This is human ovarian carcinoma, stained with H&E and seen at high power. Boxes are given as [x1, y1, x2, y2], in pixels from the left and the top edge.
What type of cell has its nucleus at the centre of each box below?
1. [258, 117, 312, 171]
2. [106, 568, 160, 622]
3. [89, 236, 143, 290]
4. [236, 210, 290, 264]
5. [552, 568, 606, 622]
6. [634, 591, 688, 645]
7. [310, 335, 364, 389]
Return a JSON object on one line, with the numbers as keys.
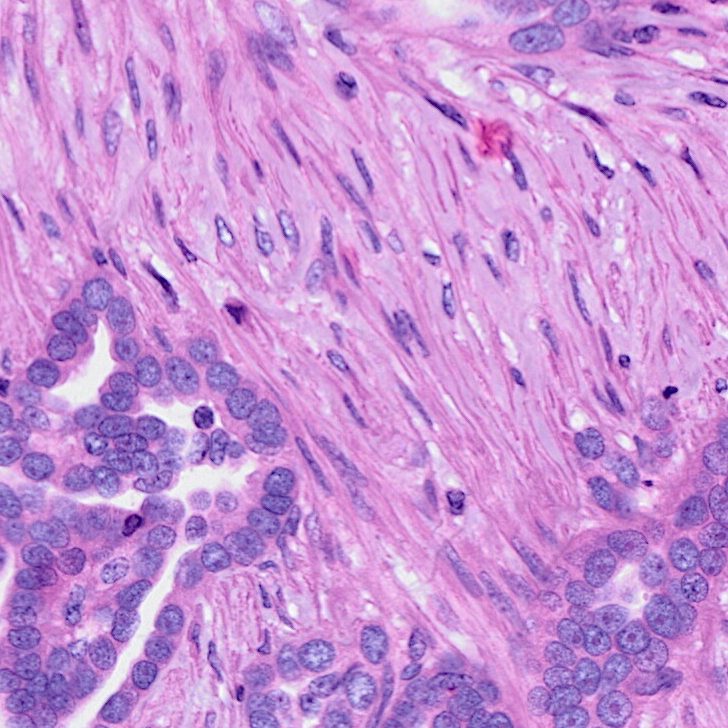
{"1": "fibroblast", "2": "carcinoma cell", "3": "fibroblast", "4": "fibroblast", "5": "carcinoma cell", "6": "carcinoma cell", "7": "fibroblast"}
